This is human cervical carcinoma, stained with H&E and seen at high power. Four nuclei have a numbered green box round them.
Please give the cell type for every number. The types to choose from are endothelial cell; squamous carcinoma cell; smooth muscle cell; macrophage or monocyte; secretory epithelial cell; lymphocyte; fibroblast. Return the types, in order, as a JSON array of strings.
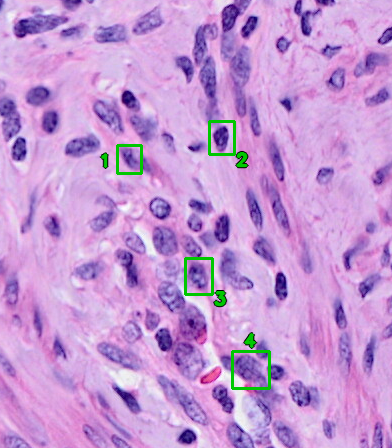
["endothelial cell", "lymphocyte", "endothelial cell", "endothelial cell"]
